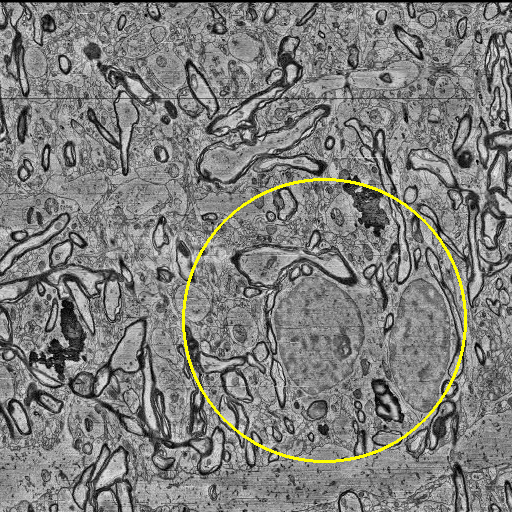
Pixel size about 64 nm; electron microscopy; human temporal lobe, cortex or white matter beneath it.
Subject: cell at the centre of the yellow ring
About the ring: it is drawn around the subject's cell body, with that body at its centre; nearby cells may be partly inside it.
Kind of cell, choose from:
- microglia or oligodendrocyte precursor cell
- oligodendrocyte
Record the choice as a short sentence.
The subject cell is an oligodendrocyte.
